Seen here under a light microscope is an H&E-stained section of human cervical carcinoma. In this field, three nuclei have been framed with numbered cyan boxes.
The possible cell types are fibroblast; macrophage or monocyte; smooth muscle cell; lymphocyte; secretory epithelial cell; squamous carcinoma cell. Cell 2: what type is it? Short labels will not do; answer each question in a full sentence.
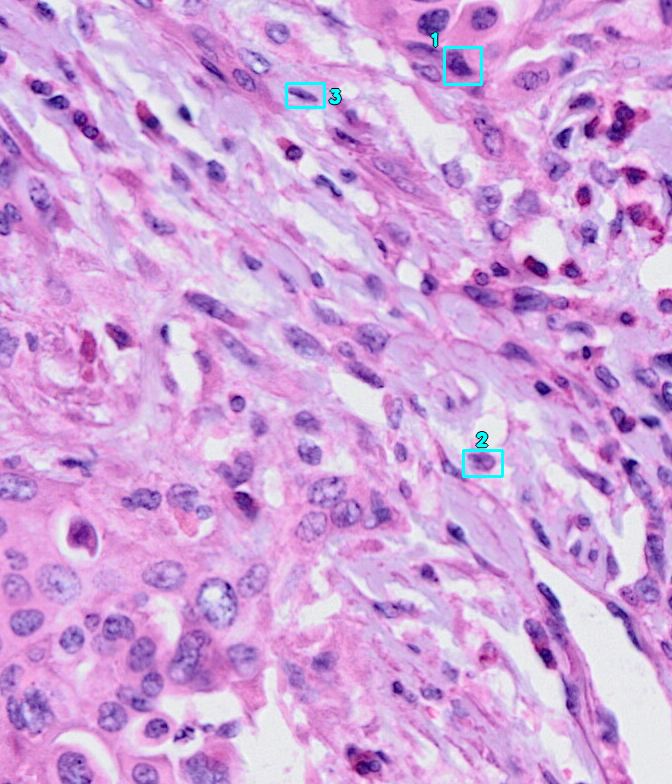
The marked cell bearing number 2 is a macrophage or monocyte.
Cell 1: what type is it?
In the tissue shown, cell 1 is a squamous carcinoma cell.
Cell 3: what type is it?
What the number 3 marks in this field is a fibroblast.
